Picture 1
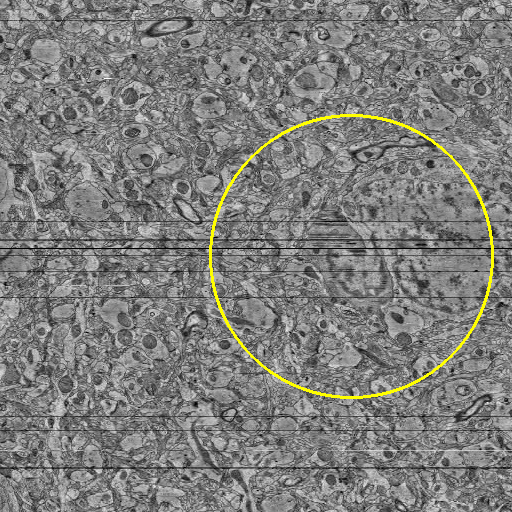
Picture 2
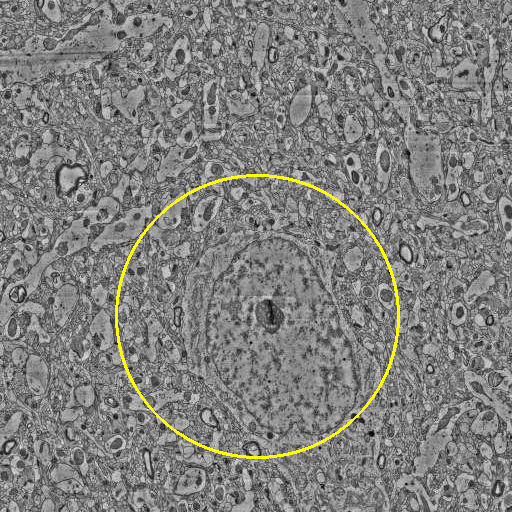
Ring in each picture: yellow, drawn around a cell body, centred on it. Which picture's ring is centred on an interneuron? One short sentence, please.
Picture 2 is the one.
